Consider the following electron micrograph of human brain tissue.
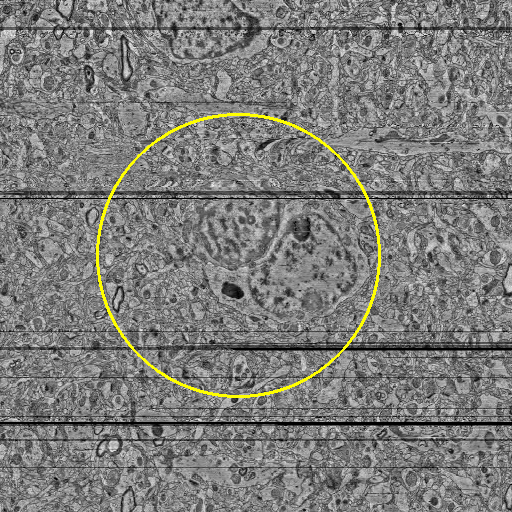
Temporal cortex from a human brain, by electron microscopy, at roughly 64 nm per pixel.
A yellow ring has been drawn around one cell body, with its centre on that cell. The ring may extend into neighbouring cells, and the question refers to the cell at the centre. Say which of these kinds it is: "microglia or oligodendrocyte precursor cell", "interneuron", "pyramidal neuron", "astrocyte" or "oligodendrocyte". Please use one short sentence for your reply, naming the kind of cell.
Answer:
The centre of the ring falls on an oligodendrocyte.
